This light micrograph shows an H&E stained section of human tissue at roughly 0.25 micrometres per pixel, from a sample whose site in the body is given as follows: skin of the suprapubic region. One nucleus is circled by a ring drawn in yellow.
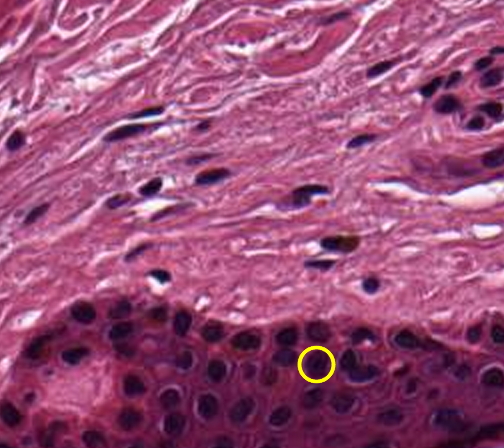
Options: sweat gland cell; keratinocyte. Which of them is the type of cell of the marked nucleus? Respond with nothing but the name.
keratinocyte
